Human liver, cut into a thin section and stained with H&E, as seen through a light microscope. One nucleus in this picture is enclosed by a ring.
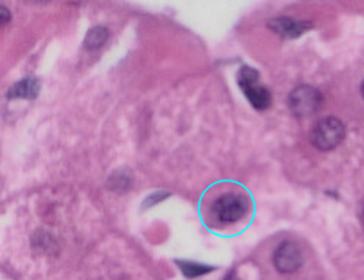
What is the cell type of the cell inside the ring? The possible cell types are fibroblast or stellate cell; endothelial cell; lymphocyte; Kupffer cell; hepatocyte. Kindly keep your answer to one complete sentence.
Cell type answer for this item: the cell inside the ring is a Kupffer cell.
